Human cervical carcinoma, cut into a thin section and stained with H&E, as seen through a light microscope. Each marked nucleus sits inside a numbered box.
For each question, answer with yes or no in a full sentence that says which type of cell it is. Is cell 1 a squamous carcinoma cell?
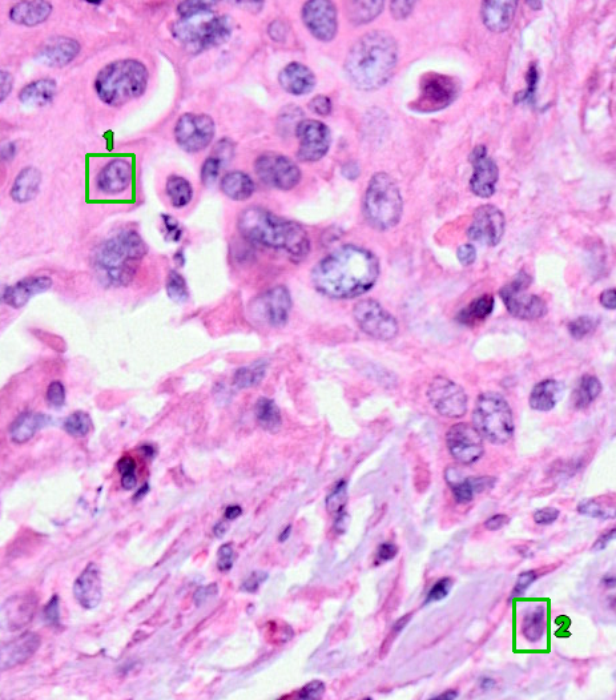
Yes, the cell with its nucleus marked 1 is a squamous carcinoma cell.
